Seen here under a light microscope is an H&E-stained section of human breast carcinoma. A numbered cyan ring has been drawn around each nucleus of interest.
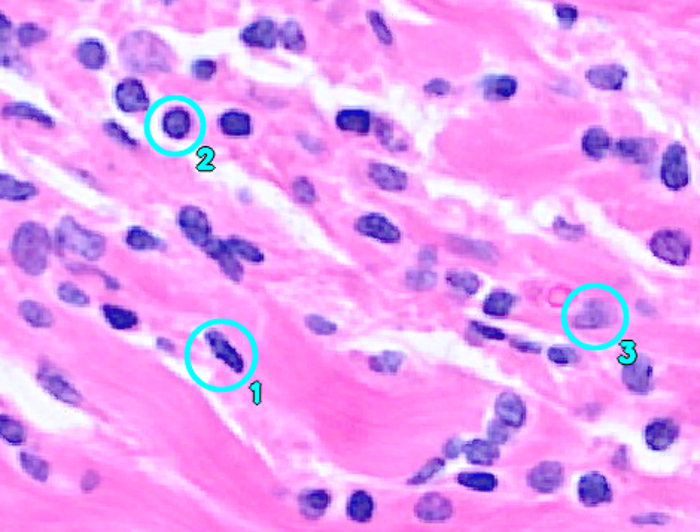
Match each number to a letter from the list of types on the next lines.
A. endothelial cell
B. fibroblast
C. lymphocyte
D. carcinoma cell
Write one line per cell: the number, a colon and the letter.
1: C
2: C
3: A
